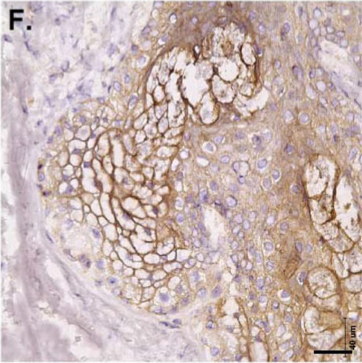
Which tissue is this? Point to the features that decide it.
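Rounded lobules of large cells with pale, foamy, vacuolated cytoplasm. Cell borders form a brown honeycomb pattern. Smaller cells with round blue nuclei lie around the lobules.
Conclusion: sebaceous glands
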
